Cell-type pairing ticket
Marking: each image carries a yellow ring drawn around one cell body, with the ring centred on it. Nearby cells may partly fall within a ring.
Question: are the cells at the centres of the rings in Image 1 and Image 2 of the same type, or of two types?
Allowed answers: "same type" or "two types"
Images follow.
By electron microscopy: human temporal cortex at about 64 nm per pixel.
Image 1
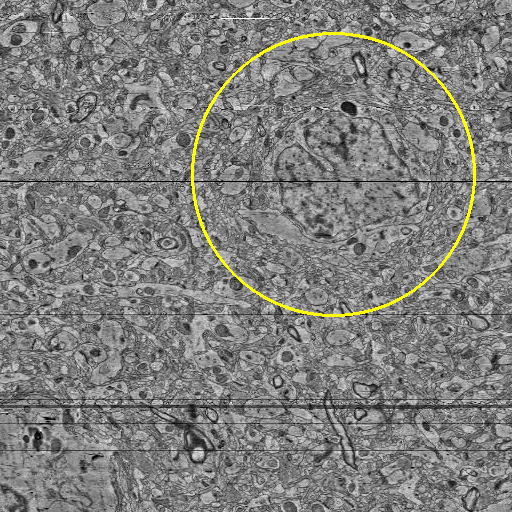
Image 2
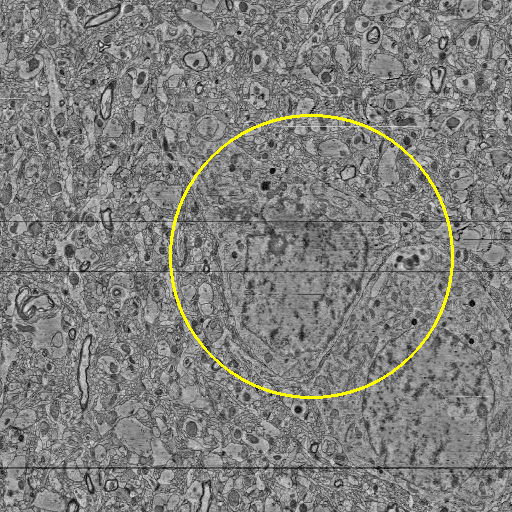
same type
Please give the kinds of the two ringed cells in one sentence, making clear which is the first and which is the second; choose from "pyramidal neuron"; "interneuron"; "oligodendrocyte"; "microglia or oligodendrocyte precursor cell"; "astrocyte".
Each one of the two ringed cells is an interneuron.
